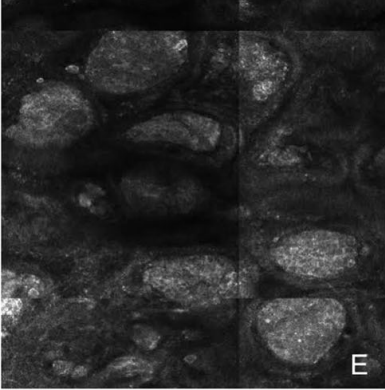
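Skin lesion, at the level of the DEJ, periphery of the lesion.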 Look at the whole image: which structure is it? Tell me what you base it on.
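Dense and regular nests. Aggregates are separated by dark surroundings.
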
